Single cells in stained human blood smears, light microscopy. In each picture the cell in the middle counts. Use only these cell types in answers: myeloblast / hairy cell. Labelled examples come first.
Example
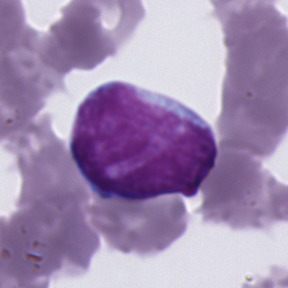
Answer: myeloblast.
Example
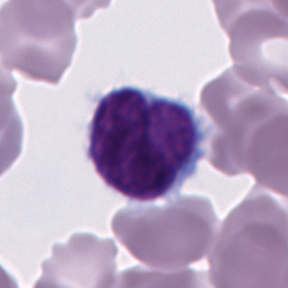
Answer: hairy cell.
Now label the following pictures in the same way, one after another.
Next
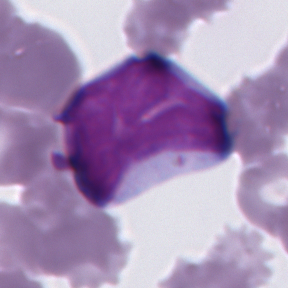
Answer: myeloblast.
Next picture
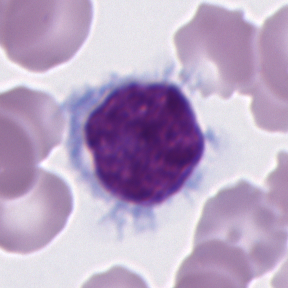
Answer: hairy cell.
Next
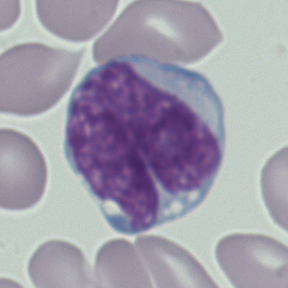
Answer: myeloblast.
